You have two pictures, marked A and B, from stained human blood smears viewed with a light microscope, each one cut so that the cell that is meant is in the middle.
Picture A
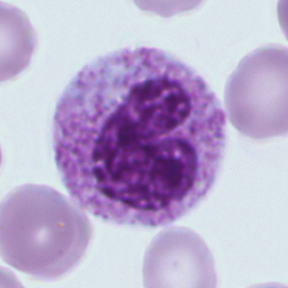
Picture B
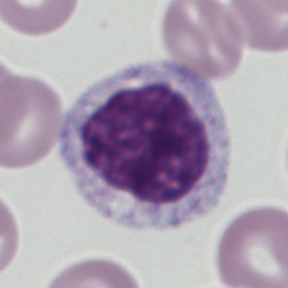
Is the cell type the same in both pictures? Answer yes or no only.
no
